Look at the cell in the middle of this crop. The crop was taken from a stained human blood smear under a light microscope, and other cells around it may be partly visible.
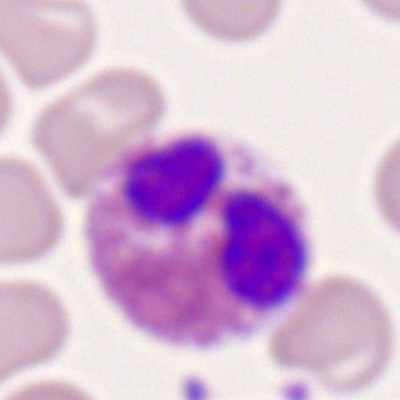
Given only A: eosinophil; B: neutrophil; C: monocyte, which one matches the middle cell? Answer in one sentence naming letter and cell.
Occupying the middle of the crop is an eosinophil, hence option A is correct.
